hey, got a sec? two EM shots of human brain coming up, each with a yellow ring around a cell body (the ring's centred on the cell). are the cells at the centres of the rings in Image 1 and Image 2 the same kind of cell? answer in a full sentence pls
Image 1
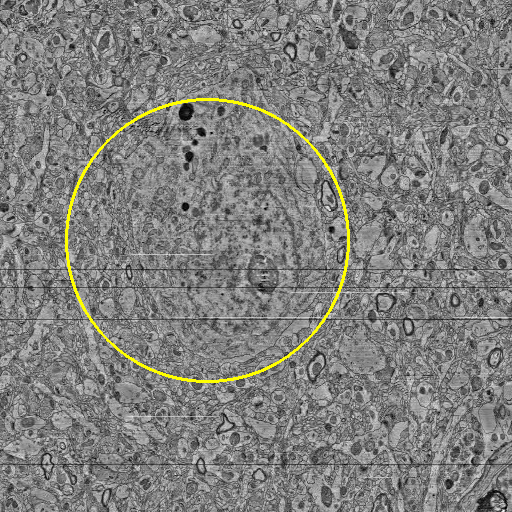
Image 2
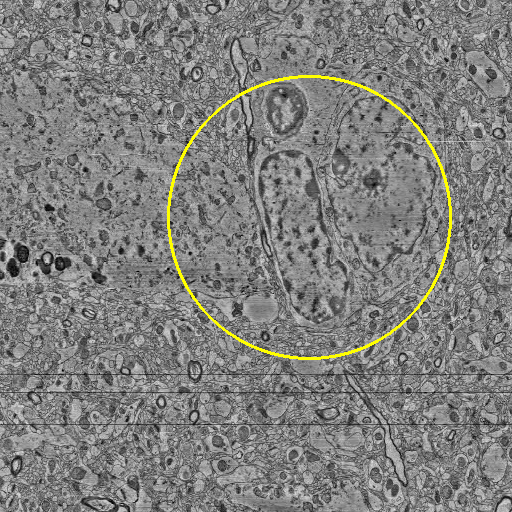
No, they are two kinds of cell.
